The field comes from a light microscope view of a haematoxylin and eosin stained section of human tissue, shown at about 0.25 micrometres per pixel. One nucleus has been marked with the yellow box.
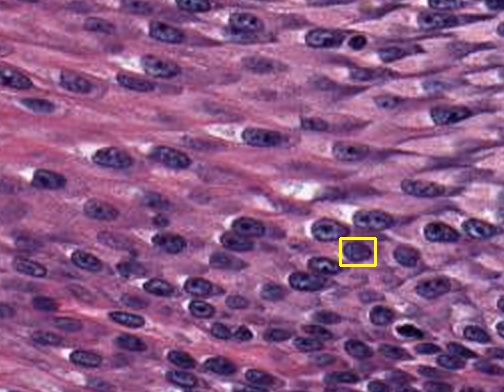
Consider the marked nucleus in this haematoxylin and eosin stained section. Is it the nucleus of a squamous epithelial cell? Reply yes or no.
yes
